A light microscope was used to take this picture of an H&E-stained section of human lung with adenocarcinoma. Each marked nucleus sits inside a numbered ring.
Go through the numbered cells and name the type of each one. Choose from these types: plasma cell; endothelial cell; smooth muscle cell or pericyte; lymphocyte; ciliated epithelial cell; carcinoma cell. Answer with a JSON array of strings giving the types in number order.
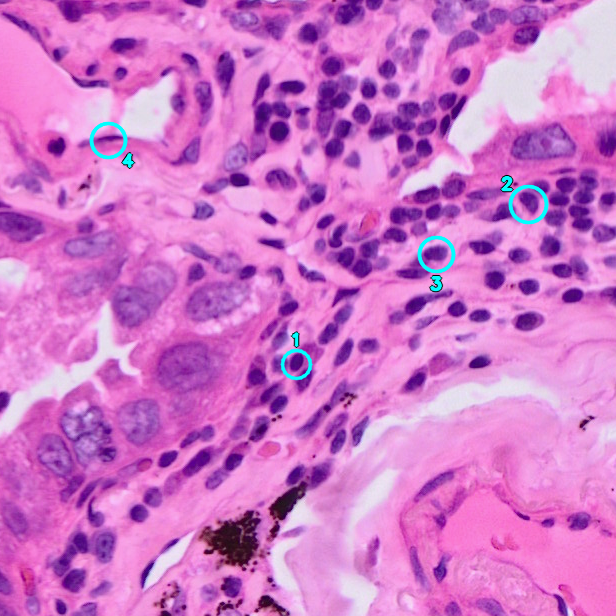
["lymphocyte", "lymphocyte", "lymphocyte", "endothelial cell"]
